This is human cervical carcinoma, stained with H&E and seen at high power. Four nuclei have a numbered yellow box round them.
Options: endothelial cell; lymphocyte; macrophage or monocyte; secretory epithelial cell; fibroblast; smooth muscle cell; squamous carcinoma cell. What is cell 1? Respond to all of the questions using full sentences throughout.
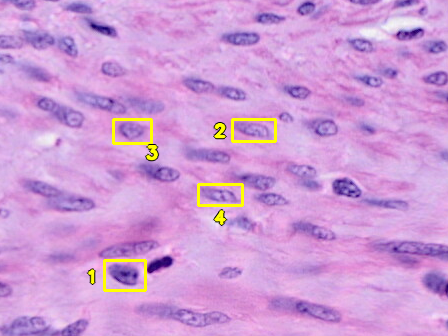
In the marked set, the cell given number 1 is a lymphocyte.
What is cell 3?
The cell referred to as 3 is a smooth muscle cell.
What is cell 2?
The cell assigned the number 2 is a smooth muscle cell.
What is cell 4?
The label 4 in this section denotes a smooth muscle cell.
